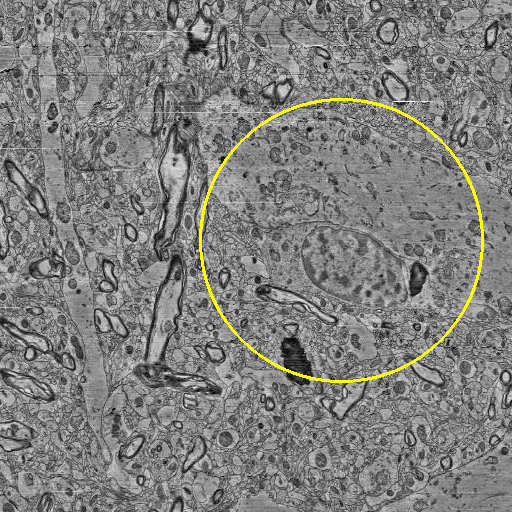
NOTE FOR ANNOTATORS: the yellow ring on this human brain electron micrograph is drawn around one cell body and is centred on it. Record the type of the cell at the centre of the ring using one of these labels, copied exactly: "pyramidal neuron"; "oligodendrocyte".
oligodendrocyte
